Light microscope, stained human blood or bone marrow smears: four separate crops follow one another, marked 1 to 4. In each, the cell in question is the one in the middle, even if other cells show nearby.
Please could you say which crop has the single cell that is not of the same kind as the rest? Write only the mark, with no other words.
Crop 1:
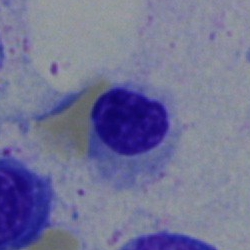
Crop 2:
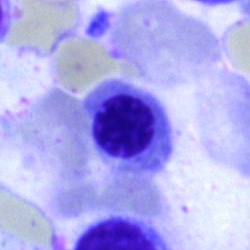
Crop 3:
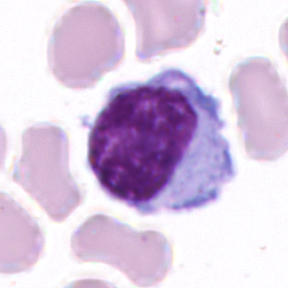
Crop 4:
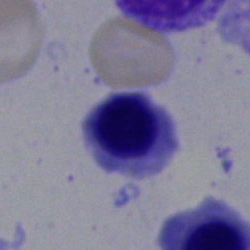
3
